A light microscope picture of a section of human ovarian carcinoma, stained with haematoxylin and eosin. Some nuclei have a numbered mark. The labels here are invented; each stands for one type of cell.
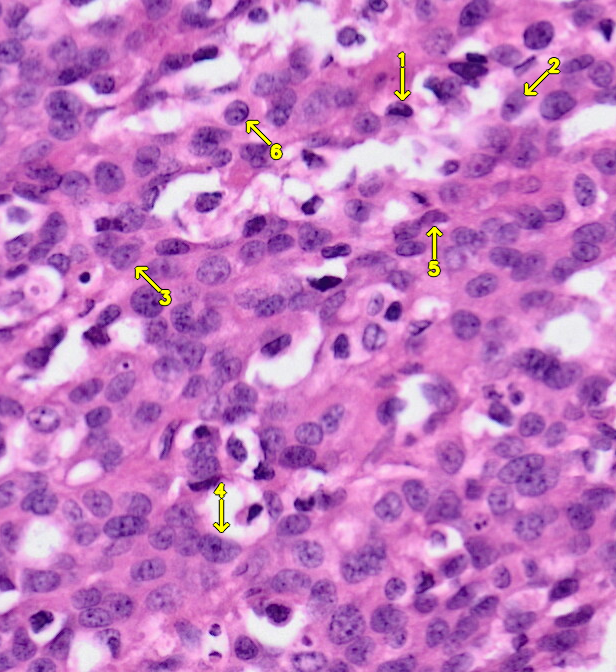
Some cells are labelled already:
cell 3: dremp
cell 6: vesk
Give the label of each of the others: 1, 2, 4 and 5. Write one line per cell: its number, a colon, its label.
1: vesk
2: dremp
4: dremp
5: dremp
